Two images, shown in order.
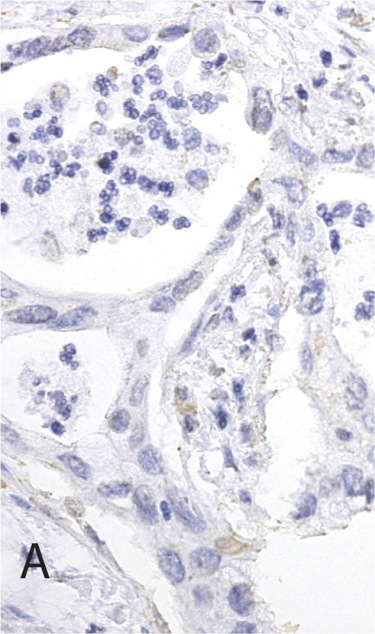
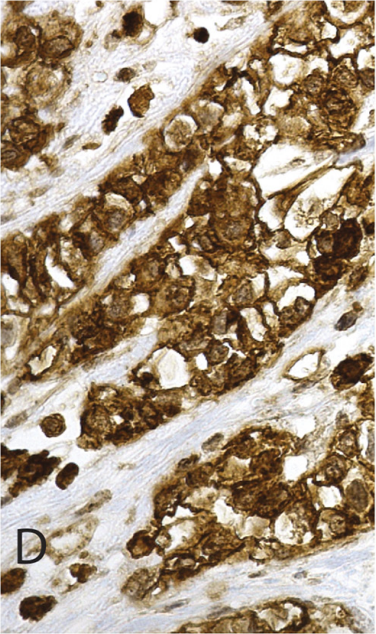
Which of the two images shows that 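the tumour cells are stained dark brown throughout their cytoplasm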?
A: the second image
